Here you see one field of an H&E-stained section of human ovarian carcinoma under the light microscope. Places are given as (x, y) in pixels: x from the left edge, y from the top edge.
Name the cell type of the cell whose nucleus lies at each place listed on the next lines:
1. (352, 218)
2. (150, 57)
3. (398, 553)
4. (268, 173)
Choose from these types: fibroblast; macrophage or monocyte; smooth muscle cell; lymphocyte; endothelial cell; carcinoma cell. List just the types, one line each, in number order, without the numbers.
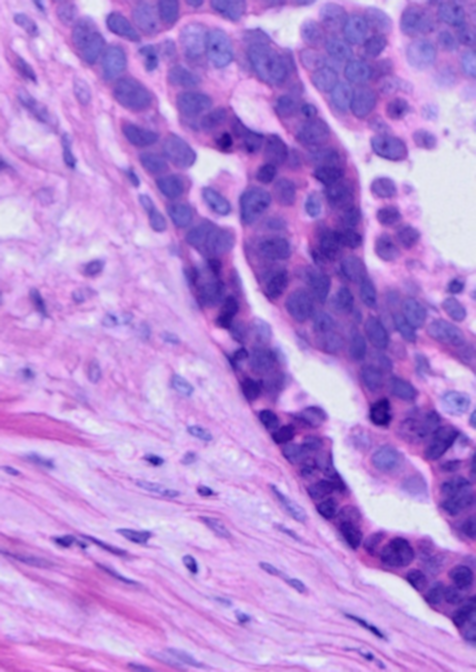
carcinoma cell
macrophage or monocyte
carcinoma cell
carcinoma cell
